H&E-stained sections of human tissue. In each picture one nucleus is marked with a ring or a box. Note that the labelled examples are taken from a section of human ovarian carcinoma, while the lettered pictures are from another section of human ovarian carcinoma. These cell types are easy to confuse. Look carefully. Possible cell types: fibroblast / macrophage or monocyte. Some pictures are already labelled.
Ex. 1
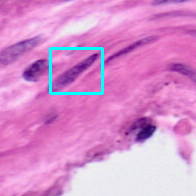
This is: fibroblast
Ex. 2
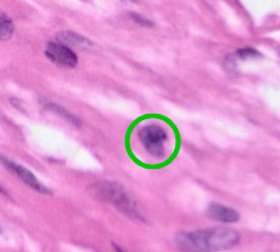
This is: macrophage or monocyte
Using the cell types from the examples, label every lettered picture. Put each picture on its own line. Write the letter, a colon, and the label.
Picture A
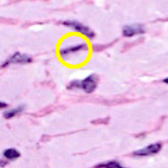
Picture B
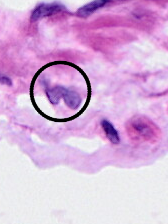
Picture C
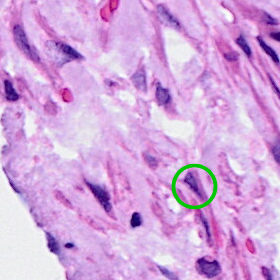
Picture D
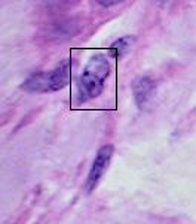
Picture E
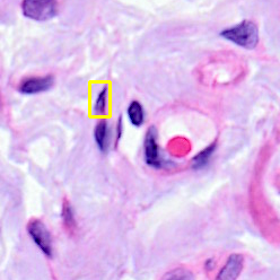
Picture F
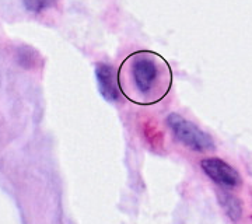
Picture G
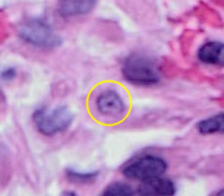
A: fibroblast
B: macrophage or monocyte
C: fibroblast
D: macrophage or monocyte
E: fibroblast
F: macrophage or monocyte
G: macrophage or monocyte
